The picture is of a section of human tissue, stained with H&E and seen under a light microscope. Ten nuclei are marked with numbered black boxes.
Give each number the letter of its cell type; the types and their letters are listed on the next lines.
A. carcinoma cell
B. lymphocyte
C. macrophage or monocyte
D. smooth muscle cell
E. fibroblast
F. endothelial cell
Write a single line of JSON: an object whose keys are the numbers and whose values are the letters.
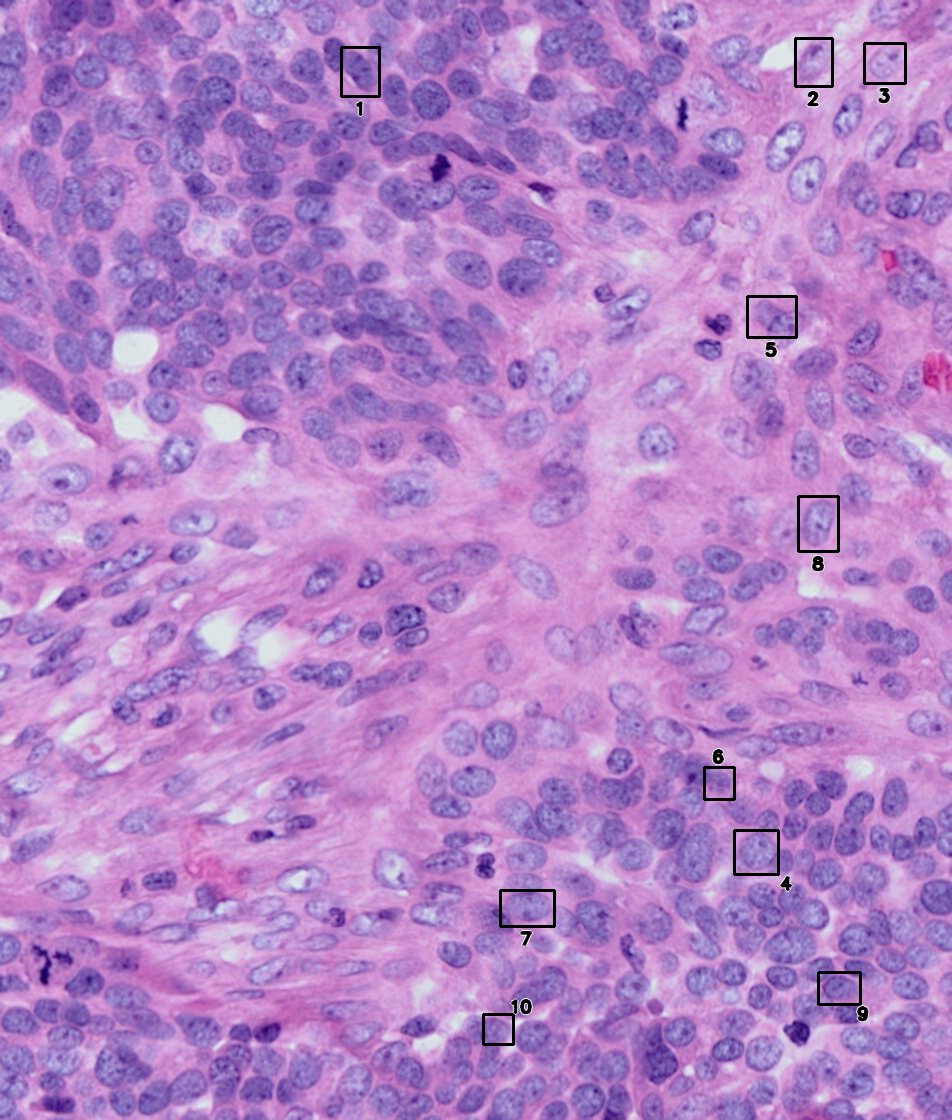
{"1": "A", "2": "E", "3": "E", "4": "A", "5": "E", "6": "A", "7": "A", "8": "E", "9": "A", "10": "A"}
